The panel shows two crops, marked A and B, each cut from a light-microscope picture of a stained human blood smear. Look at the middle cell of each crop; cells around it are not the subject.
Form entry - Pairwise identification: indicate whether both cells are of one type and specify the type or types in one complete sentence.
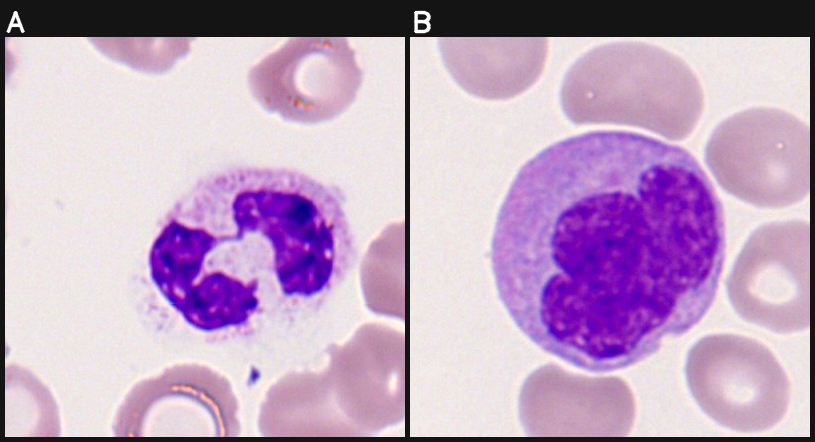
No, crop A carries a segmented neutrophil at its centre, and crop B carries a monocyte.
